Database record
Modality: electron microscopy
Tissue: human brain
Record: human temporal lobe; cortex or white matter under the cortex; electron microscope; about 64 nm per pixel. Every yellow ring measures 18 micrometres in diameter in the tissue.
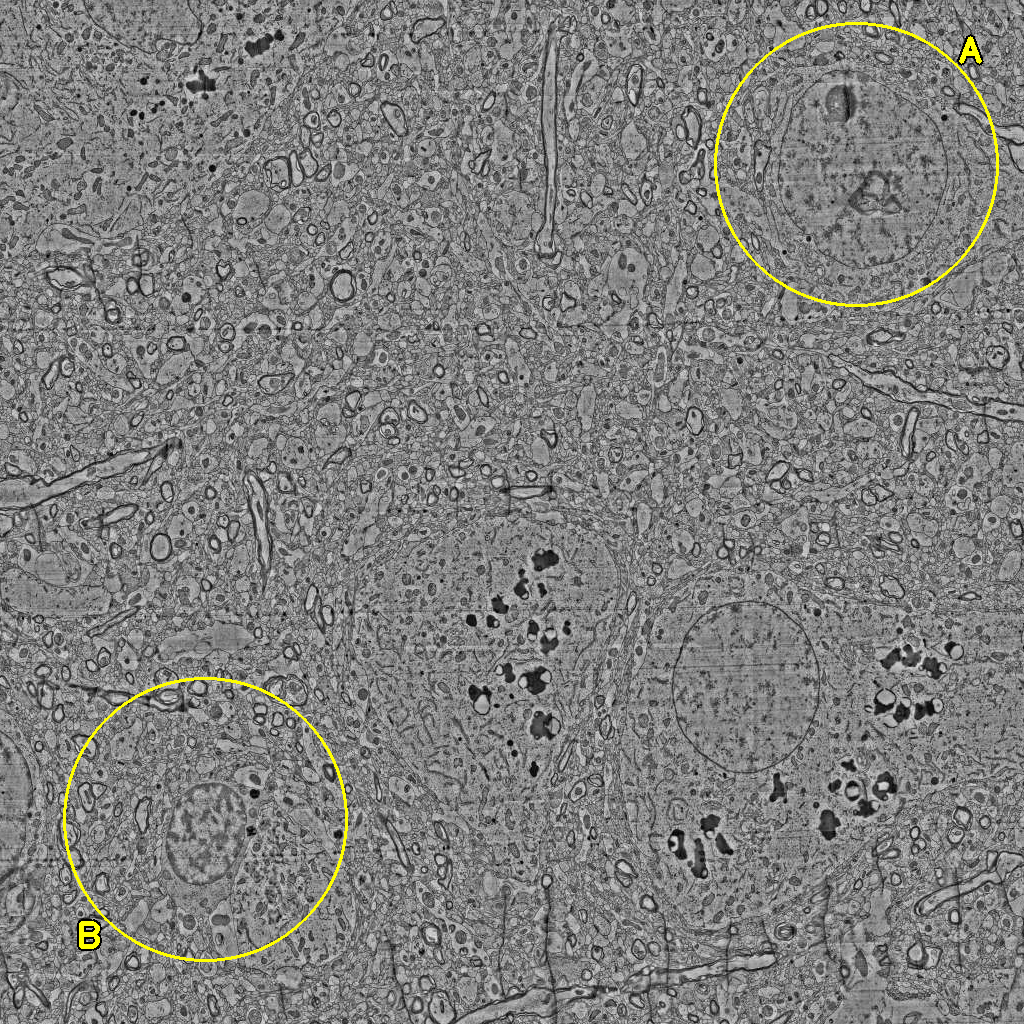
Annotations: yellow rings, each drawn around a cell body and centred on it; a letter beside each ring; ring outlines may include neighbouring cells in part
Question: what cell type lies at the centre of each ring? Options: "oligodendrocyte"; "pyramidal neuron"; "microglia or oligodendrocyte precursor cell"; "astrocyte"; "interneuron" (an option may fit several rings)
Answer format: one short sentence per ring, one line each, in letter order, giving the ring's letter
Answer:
Ring A corresponds to a pyramidal neuron.
Ring B corresponds to an oligodendrocyte.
